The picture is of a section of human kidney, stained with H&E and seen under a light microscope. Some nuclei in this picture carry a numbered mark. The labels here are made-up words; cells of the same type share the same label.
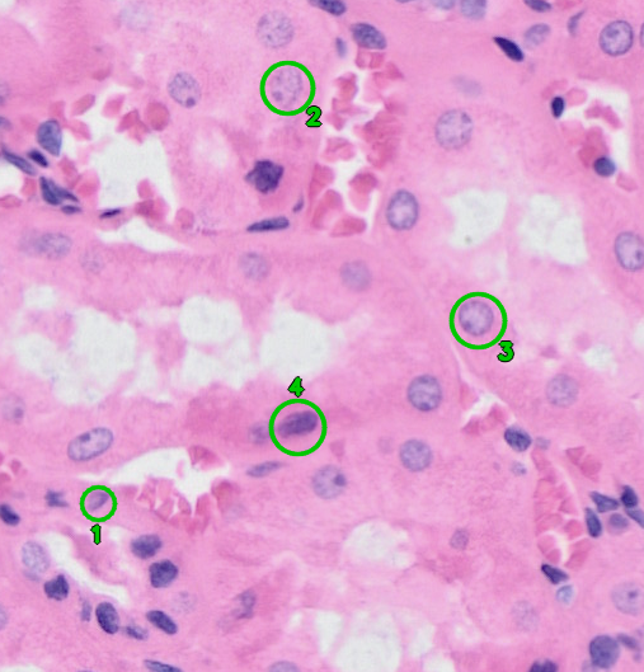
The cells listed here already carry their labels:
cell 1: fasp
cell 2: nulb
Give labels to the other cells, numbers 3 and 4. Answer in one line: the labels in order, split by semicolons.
nulb; nulb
